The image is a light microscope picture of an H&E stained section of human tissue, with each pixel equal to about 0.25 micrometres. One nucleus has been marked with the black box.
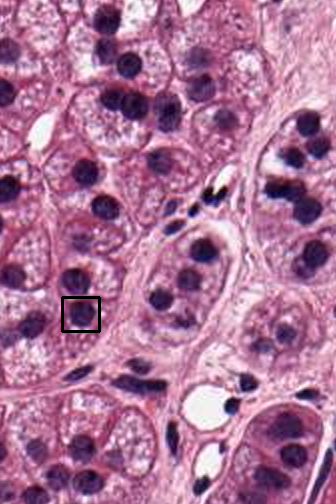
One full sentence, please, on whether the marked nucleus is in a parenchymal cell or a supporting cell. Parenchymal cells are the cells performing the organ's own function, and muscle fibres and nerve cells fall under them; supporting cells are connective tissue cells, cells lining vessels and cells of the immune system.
The marked nucleus forms part of a parenchymal cell, namely an adrenal cortical cell.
